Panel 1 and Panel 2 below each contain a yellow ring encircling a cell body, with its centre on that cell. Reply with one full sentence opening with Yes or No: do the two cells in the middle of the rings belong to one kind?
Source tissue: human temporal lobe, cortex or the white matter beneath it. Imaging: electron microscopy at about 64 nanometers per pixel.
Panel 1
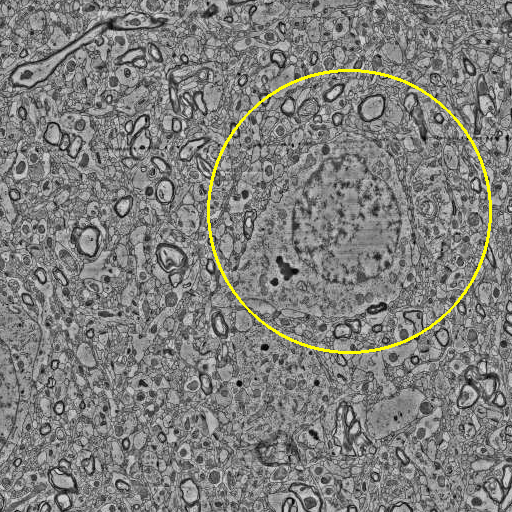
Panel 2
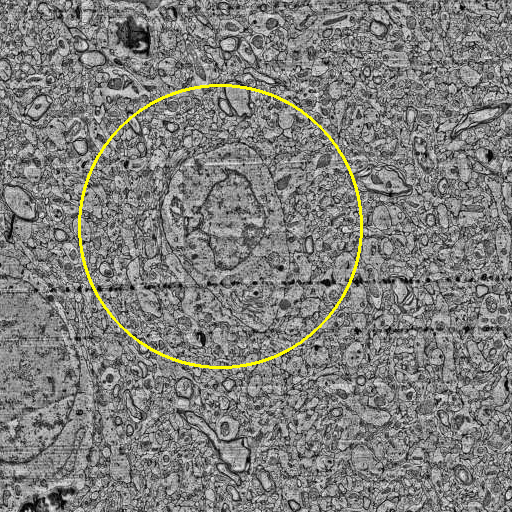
No, the cells at the middle of the Panel 1 ring and the Panel 2 ring are of two kinds.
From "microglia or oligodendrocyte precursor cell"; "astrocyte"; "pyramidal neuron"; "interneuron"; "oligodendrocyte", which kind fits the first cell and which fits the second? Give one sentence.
The cell marked in the first picture is an interneuron, and the one marked in the second is a pyramidal neuron.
